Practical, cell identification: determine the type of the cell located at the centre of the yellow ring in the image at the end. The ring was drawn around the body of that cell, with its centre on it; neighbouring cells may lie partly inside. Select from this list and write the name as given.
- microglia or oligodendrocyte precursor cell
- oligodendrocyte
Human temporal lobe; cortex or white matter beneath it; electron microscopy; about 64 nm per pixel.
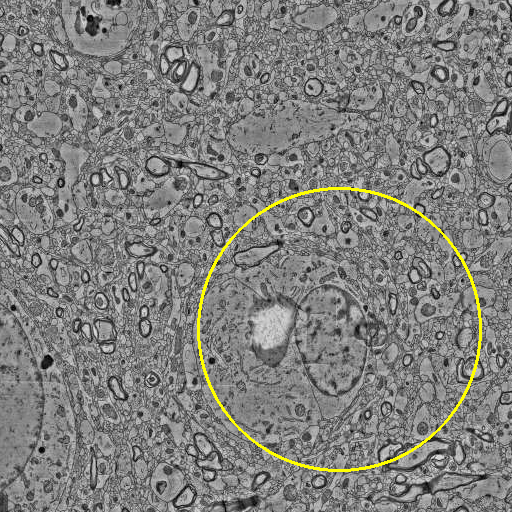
microglia or oligodendrocyte precursor cell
